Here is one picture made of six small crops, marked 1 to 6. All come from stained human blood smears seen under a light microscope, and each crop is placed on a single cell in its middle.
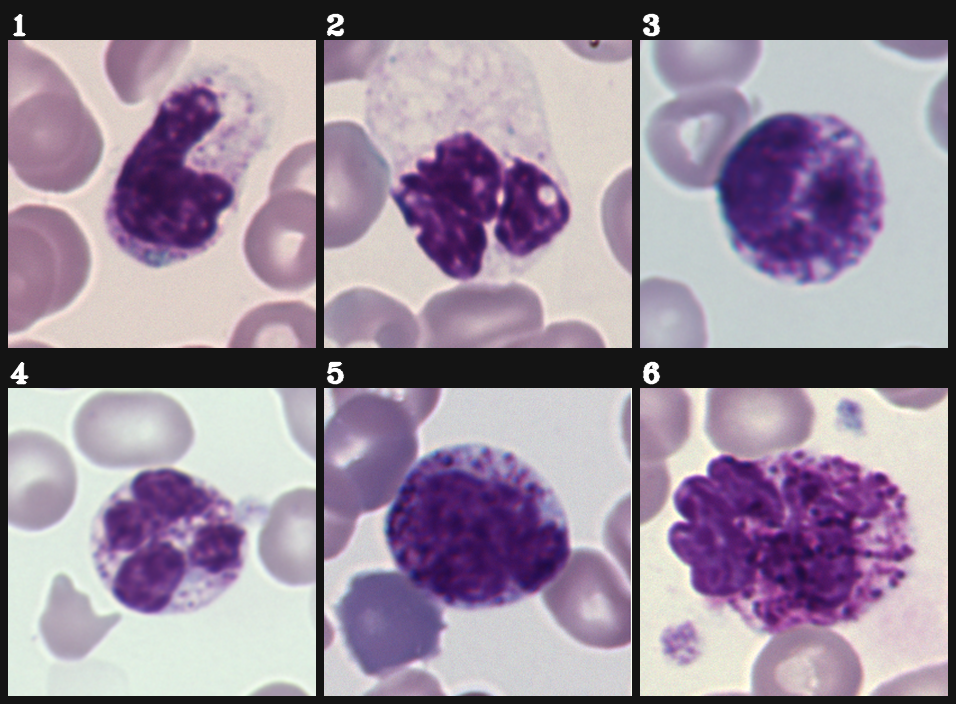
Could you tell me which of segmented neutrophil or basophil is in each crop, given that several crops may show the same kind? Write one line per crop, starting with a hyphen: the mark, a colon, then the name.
- 1: segmented neutrophil
- 2: segmented neutrophil
- 3: basophil
- 4: basophil
- 5: basophil
- 6: basophil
